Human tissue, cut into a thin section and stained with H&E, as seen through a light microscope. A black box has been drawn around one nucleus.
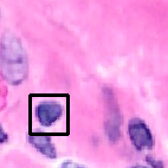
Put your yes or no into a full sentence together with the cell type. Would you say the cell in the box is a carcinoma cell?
No, it is as a lymphocyte, not a carcinoma cell, that the cell in the box is classified.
